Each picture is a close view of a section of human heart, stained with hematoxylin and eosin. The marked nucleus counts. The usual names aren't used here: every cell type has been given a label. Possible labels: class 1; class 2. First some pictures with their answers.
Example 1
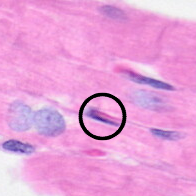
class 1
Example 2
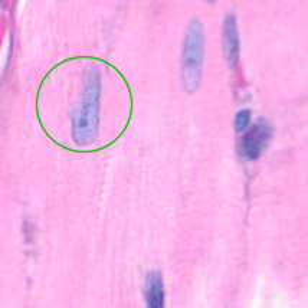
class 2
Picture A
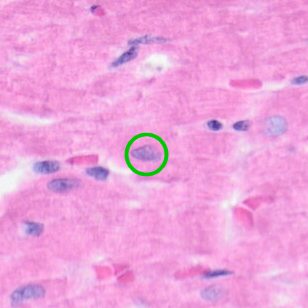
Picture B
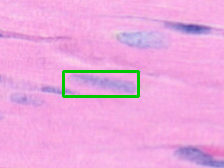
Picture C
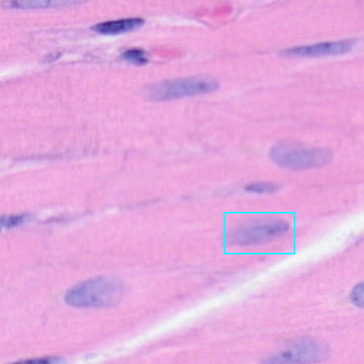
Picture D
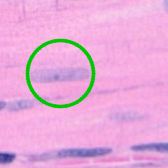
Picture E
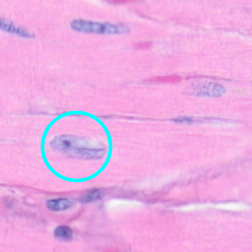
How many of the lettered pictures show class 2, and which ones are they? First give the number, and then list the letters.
Count: 5 (A, B, C, D, E)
